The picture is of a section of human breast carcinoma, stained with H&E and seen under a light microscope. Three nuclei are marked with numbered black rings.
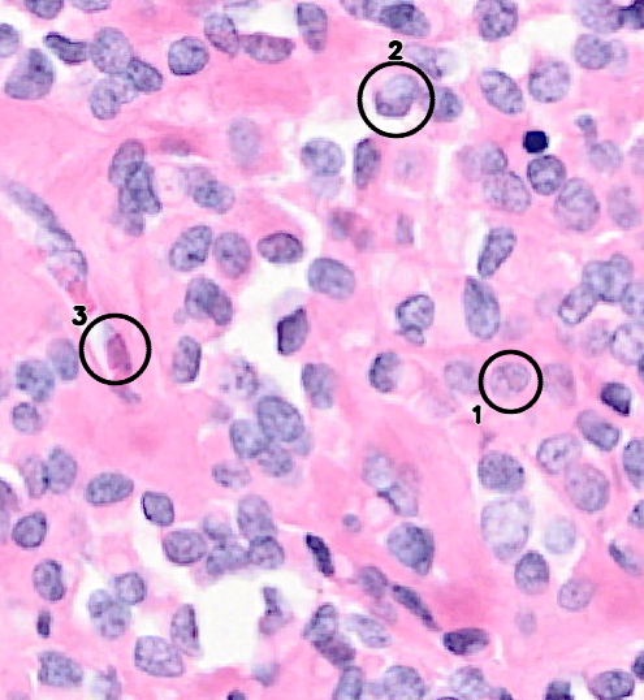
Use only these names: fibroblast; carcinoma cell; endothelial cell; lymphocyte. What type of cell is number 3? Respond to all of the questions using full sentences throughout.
In this section, the cell numbered 3 is an endothelial cell.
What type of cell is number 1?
Number 1 is placed on a carcinoma cell here.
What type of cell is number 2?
It is as a carcinoma cell that the cell numbered 2 is identified.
